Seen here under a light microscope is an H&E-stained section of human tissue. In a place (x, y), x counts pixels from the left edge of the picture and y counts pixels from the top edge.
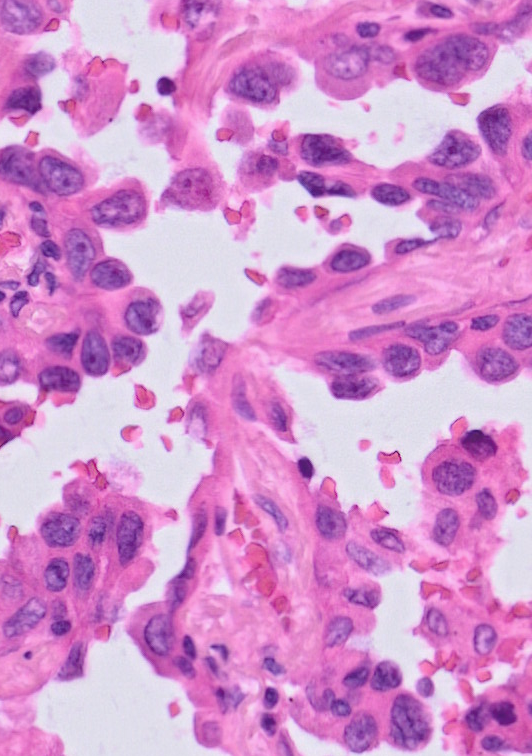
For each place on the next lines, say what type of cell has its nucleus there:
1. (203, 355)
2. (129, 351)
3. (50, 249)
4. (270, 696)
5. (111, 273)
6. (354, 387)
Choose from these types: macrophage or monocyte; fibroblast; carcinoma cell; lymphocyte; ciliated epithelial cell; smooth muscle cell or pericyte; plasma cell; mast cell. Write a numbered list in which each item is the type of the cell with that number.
1. carcinoma cell
2. carcinoma cell
3. lymphocyte
4. lymphocyte
5. carcinoma cell
6. carcinoma cell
